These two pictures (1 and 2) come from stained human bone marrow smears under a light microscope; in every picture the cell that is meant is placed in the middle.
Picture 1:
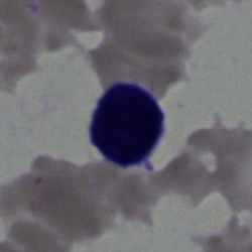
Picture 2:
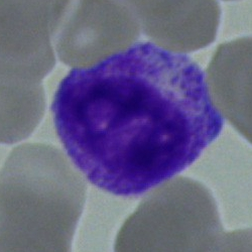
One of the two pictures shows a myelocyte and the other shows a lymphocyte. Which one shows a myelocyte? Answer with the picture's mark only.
2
